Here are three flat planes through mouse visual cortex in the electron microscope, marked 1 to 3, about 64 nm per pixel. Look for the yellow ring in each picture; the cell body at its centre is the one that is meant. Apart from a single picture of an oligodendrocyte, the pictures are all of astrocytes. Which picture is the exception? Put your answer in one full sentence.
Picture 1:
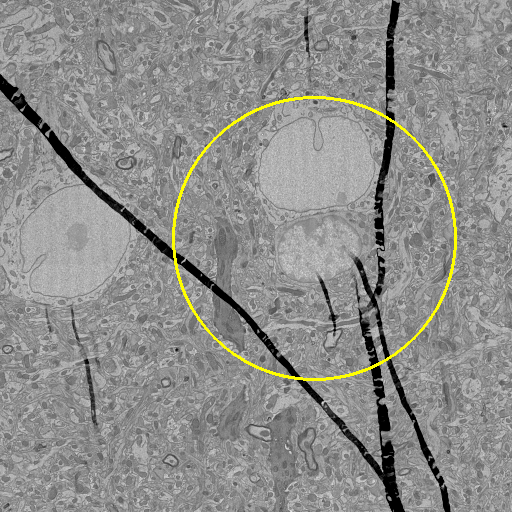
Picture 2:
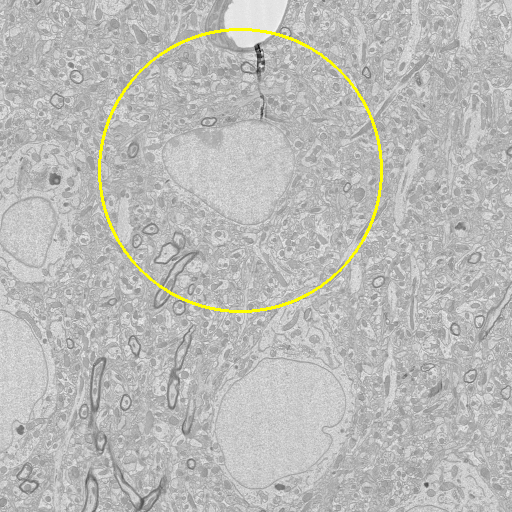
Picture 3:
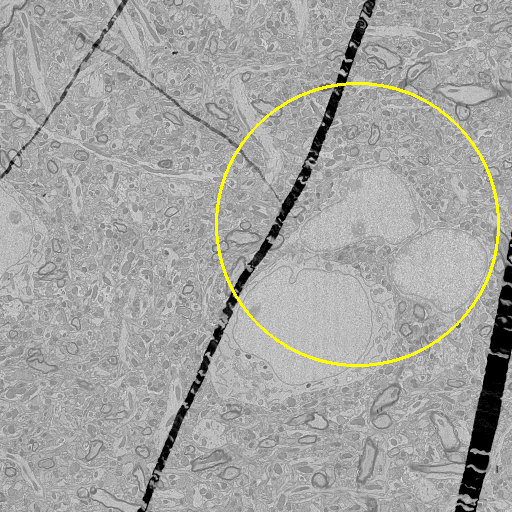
Picture 1 is the one that shows the oligodendrocyte.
